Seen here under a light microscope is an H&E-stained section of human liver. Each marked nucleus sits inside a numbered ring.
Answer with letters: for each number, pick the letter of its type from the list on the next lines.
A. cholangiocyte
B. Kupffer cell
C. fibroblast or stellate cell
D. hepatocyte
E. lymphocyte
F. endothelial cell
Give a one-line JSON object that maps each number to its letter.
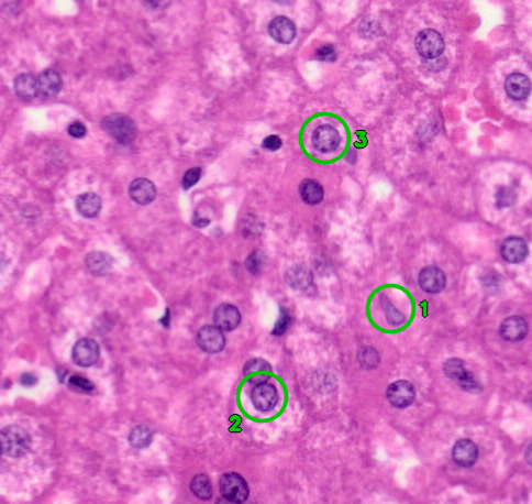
{"1": "B", "2": "D", "3": "D"}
